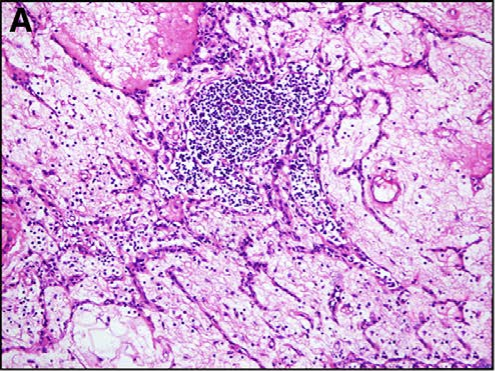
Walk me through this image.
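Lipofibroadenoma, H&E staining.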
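Pale, loose fibrous tissue is crossed by an irregular network of thin epithelial strands. In the centre, a compact aggregate of small lymphocytes with round, dark purple nuclei forms a dense focus. Fewer of the same cells are scattered in the surrounding stroma.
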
